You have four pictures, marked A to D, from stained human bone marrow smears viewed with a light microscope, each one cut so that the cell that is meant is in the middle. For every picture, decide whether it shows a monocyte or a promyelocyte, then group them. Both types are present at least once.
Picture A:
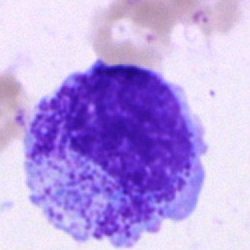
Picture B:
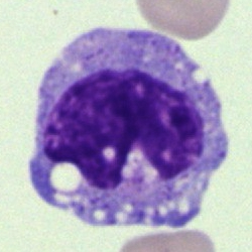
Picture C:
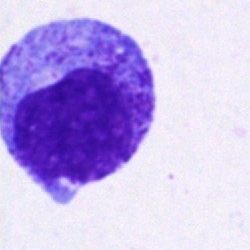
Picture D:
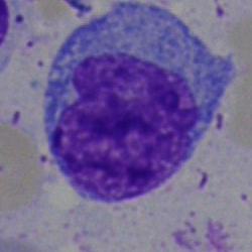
A: promyelocyte
B: monocyte
C: promyelocyte
D: monocyte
